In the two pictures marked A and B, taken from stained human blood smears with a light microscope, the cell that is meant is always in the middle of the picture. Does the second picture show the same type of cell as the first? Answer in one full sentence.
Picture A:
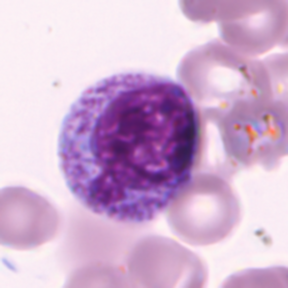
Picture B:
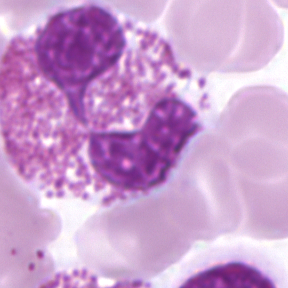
No, picture A shows a myelocyte and picture B shows an eosinophil.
